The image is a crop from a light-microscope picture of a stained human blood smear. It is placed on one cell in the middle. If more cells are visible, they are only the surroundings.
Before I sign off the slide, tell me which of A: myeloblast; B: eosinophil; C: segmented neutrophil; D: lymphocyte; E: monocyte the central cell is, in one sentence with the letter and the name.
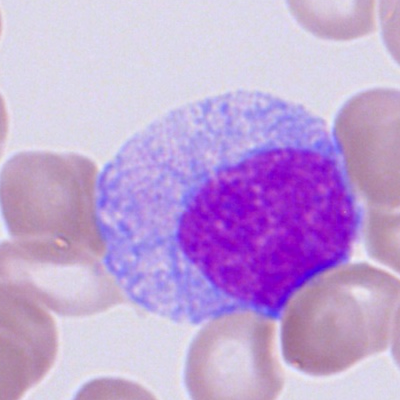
The cell positioned centrally is a monocyte, as given in option E, which is correct.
